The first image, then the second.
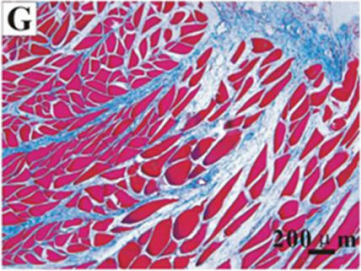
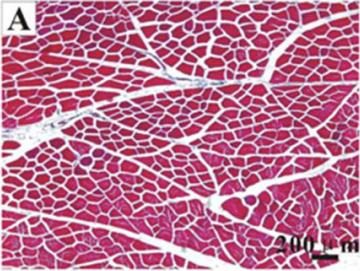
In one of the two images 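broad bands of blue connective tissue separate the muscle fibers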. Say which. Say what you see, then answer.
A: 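First image: thick blue bands run between red fiber bundles. Second image: red fibers lie tightly packed with only thin pale septa and little blue.
Answer: the first image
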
